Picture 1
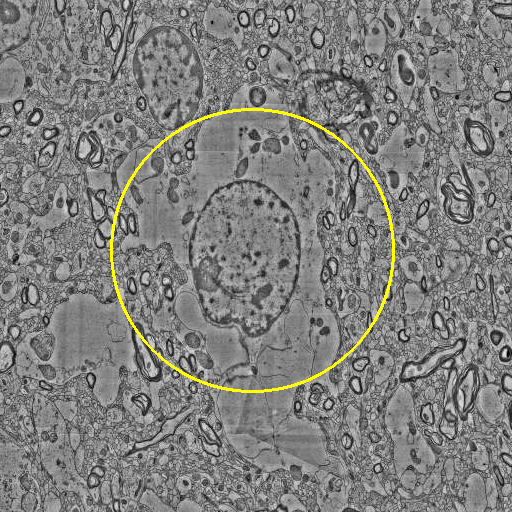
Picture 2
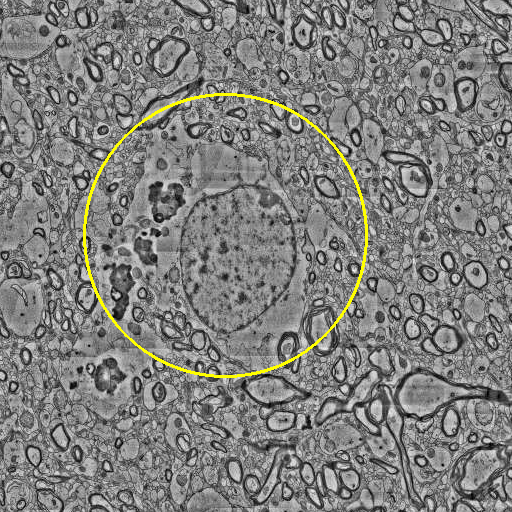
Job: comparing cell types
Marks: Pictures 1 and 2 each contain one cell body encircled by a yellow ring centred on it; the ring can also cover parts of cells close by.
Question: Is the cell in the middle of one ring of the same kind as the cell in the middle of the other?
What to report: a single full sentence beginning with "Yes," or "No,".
Yes, the cell at the ring centre in Picture 1 and its partner in Picture 2 are of one kind.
